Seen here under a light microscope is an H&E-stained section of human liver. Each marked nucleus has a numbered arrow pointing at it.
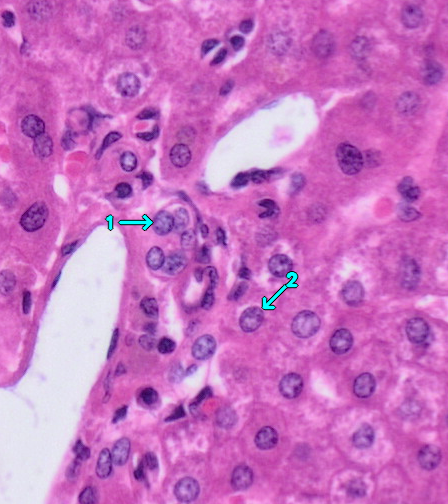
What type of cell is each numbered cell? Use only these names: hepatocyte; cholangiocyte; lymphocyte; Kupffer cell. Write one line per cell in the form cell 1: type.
cell 1: cholangiocyte
cell 2: hepatocyte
